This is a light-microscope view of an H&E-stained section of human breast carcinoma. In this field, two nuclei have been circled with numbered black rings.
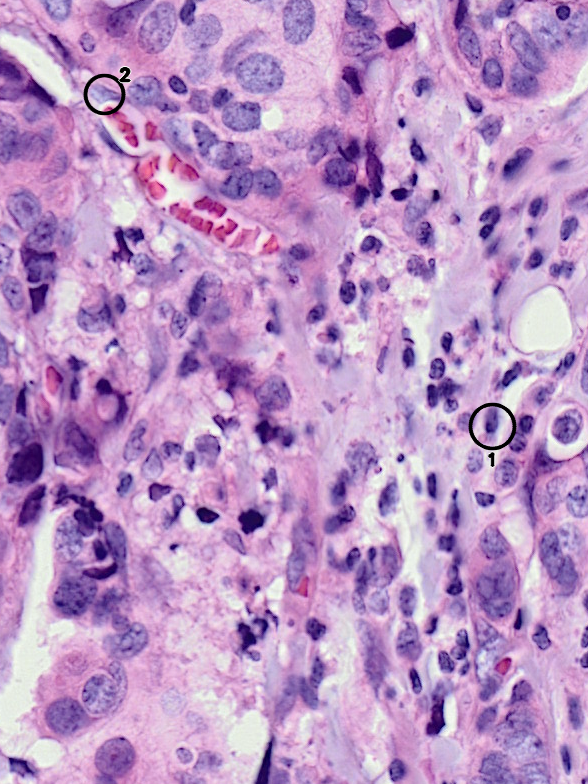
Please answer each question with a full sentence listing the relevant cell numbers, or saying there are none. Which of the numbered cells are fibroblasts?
It is true of every numbered cell that it is not one of the fibroblasts.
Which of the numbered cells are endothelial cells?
Among the numbered cells, cell 2 alone is an endothelial cell.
